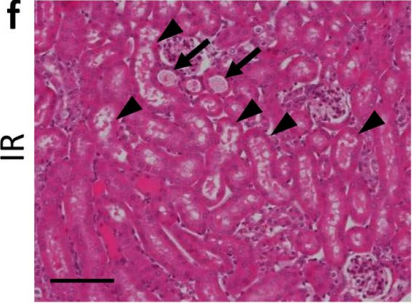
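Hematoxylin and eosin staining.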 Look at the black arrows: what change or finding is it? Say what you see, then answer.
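Cast formation. Arrows point to rounded pale eosinophilic material filling tubule lumens.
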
